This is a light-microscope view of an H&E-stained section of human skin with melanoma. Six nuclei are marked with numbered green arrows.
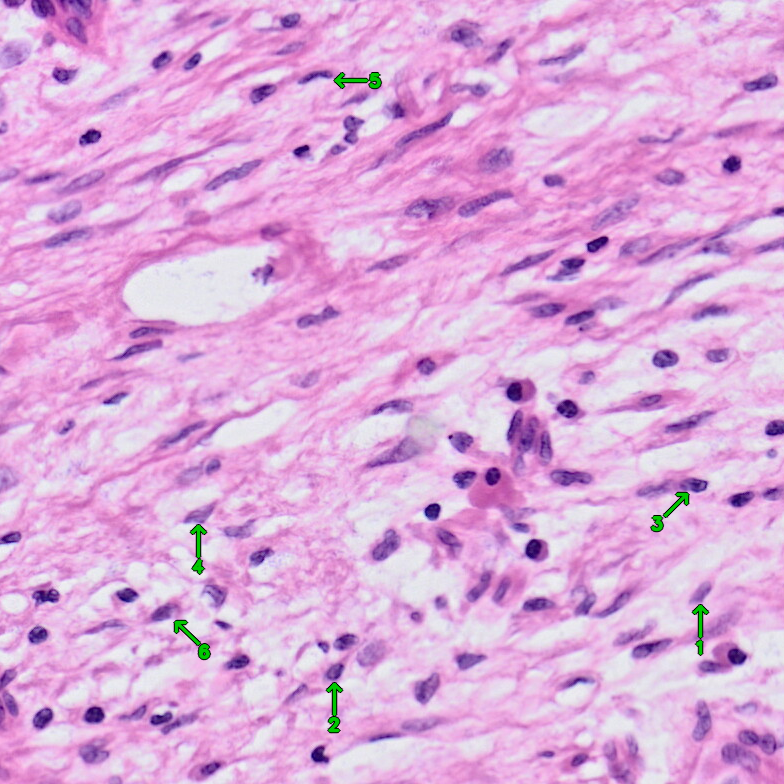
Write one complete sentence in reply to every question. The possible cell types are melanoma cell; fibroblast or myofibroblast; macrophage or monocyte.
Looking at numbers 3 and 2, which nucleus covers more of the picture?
Number 3 is larger; its area is about 1.5 times that of number 2.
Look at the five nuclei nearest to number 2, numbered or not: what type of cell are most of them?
Fibroblasts or myofibroblasts make up most of the five nuclei closest to number 2.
